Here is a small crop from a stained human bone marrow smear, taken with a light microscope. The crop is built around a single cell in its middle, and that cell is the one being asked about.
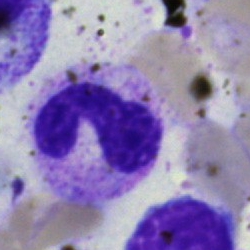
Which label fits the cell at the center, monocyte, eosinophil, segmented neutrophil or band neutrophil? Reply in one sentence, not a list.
The cell featured at the centre of this crop is a band neutrophil.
